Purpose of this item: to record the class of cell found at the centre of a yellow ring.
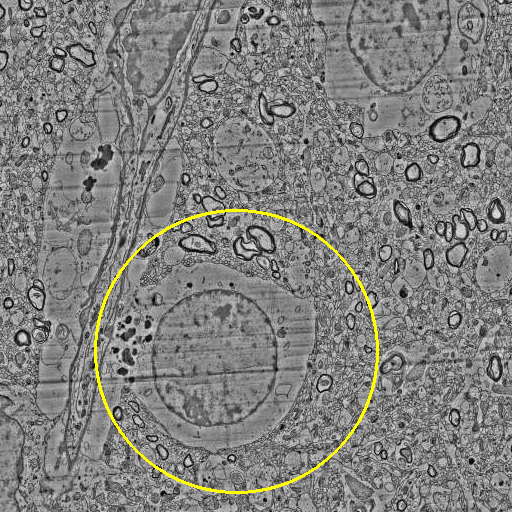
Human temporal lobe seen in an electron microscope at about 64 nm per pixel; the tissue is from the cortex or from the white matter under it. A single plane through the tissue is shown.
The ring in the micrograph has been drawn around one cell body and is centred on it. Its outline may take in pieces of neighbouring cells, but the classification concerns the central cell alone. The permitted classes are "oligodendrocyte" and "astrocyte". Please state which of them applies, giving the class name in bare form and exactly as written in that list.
astrocyte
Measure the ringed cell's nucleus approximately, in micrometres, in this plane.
Roughly 9 micrometers across in this plane.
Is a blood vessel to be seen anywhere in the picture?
Yes.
